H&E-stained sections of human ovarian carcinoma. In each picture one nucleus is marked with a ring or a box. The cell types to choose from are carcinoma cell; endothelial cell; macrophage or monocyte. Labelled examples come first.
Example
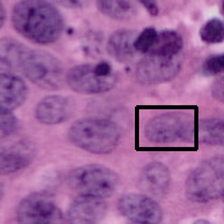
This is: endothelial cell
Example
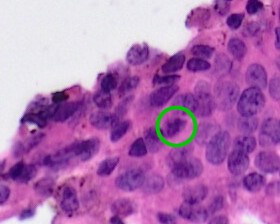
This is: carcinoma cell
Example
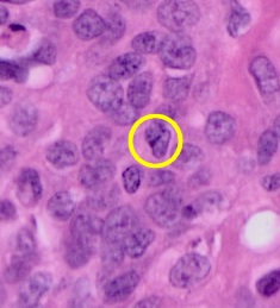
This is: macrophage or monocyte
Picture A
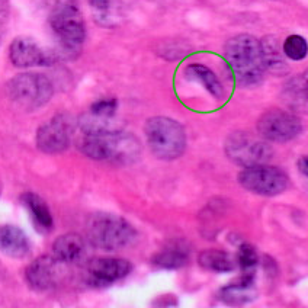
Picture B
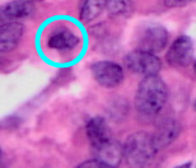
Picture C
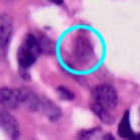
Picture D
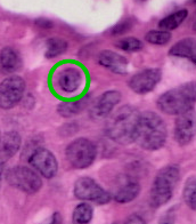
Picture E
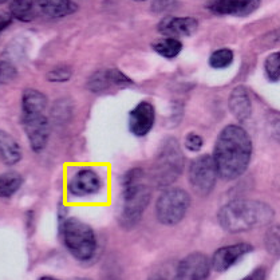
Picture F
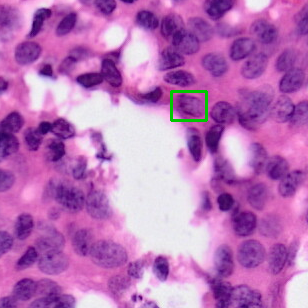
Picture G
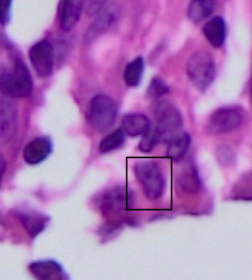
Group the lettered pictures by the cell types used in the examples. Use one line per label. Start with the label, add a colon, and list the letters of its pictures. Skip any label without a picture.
carcinoma cell: C, G
endothelial cell: A, F
macrophage or monocyte: B, D, E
